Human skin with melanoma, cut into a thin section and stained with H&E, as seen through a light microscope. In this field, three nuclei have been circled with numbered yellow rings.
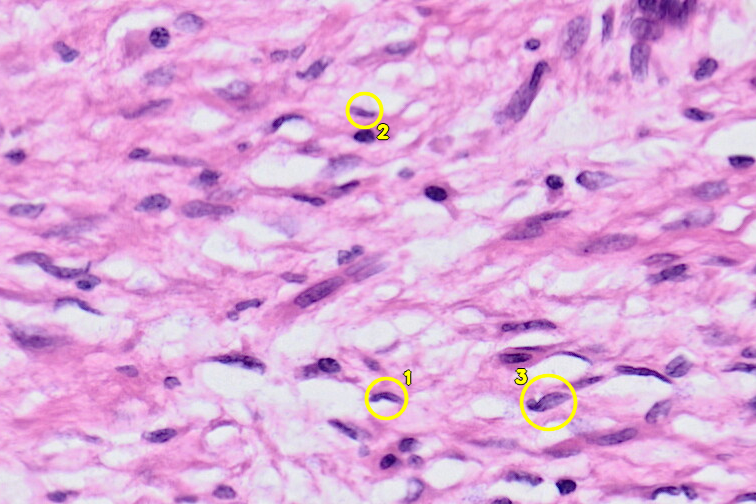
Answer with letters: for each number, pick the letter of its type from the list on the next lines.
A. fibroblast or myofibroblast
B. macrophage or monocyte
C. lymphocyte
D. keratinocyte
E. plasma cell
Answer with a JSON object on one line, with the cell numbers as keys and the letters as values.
{"1": "A", "2": "A", "3": "B"}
